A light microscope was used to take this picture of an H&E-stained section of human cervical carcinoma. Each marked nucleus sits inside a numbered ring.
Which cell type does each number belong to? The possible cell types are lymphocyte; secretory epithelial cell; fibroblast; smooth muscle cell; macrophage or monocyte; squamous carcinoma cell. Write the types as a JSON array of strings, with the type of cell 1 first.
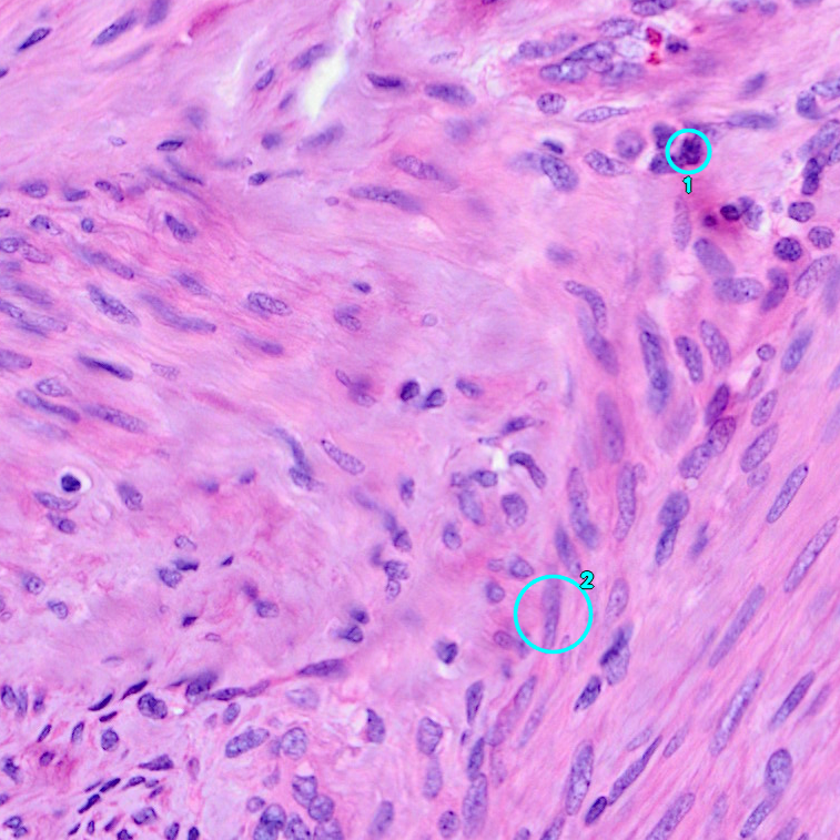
["lymphocyte", "smooth muscle cell"]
